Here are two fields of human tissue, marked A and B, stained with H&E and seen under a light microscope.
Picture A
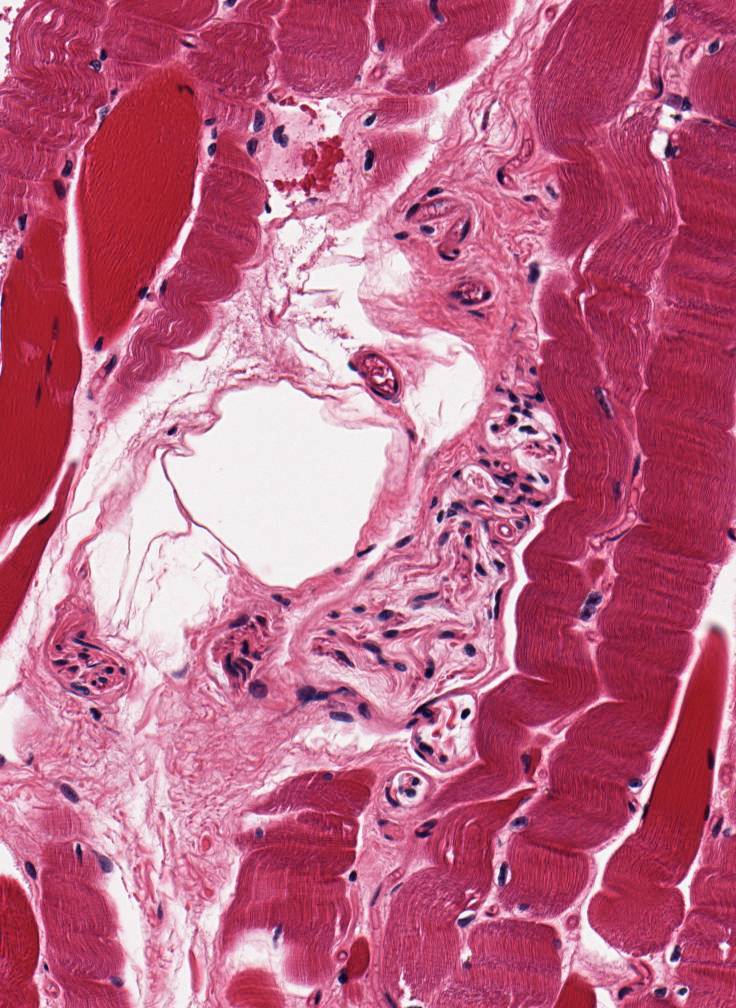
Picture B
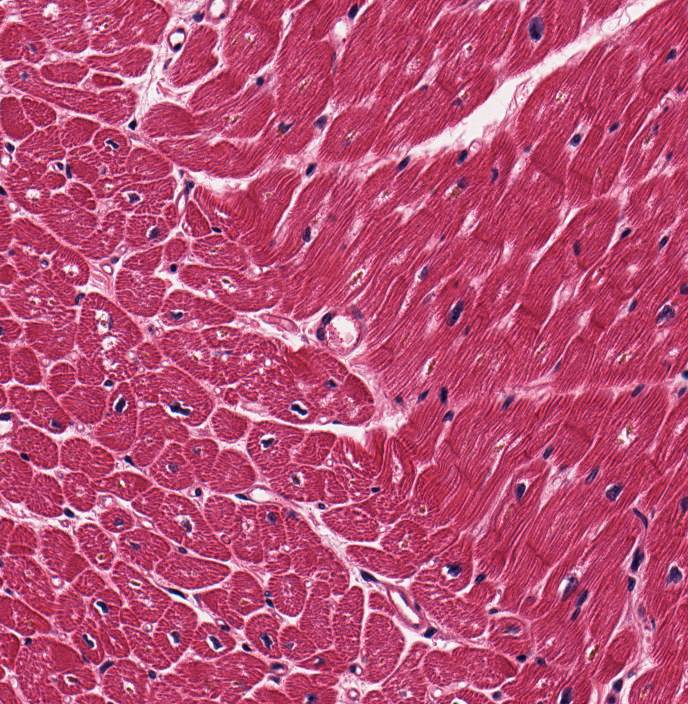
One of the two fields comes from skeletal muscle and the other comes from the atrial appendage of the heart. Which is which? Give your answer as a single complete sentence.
Picture A comes from skeletal muscle; picture B comes from the atrial appendage of the heart.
